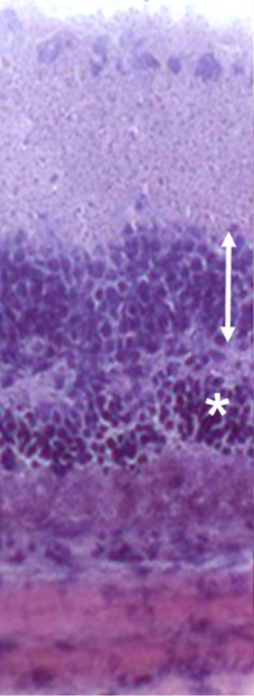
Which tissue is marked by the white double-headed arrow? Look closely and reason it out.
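The arrow spans a dense band of purple-stained oval nuclei. A broad pale, finely granular band with few nuclei lies above it. Another band of nuclei lies below it. The answer: inner nuclear layer.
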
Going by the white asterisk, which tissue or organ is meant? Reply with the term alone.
Outer nuclear layer.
